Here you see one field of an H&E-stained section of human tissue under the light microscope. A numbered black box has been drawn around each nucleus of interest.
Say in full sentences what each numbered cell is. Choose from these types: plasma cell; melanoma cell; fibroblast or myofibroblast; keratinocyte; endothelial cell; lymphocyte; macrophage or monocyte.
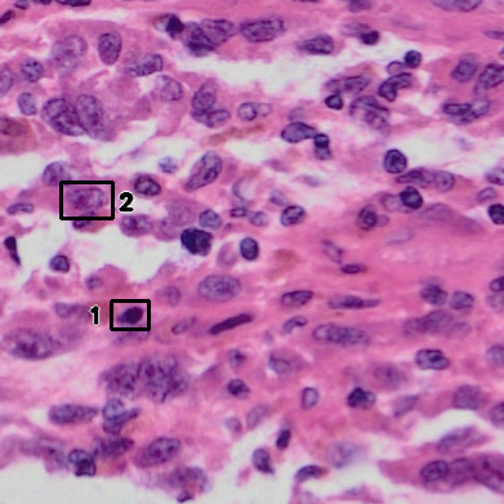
Cell 1 is a lymphocyte. Cell 2 is a melanoma cell.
